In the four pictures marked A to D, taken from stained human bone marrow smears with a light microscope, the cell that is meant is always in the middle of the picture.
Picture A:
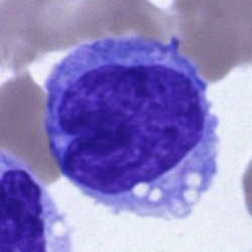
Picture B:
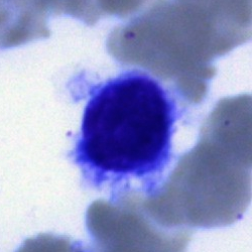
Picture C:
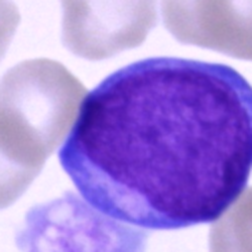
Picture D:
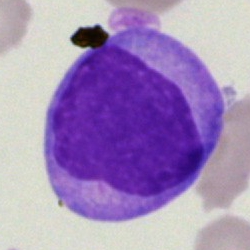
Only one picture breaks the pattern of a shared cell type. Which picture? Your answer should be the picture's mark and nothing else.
B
